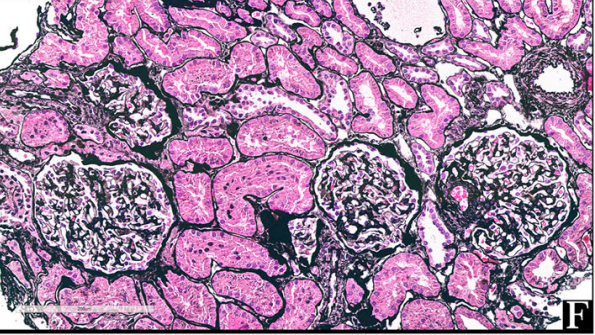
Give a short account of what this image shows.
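Kidney cortex with several glomeruli among pink-stained tubules, with basement membranes outlined black by silver. The tufts do not appear markedly crowded with nuclei. Tubules around them have pink cytoplasm and thin black basement membranes, lying closely packed with little interstitial widening. A small artery with a black-outlined wall is seen at the upper right.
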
